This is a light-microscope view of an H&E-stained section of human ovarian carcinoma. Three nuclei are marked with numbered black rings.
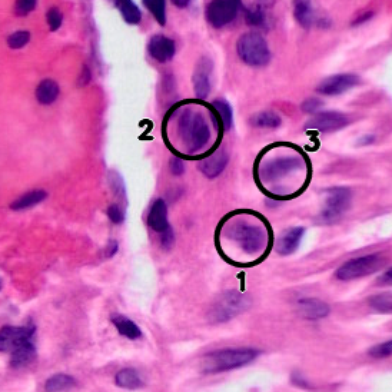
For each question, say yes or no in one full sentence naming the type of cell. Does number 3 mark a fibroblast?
Yes, so the cell at label 3 is a fibroblast.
